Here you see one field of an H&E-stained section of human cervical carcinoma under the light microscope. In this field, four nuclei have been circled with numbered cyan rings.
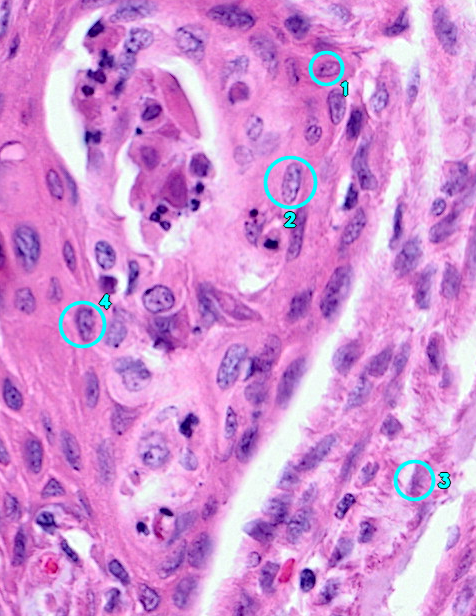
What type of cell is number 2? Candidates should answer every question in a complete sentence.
The numbered cell 2 in this field is a squamous carcinoma cell.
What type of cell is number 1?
Denoted by the label 1 in the section is a squamous carcinoma cell.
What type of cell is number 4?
Here, the cell given the number 4 is a squamous carcinoma cell.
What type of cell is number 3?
Identified by the number 3, the cell is a fibroblast.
